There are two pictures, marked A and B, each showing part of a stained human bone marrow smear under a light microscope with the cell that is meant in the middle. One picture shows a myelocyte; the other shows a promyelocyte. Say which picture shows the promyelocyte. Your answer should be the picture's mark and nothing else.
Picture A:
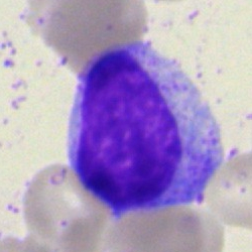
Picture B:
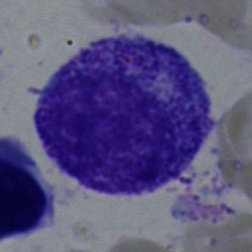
B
